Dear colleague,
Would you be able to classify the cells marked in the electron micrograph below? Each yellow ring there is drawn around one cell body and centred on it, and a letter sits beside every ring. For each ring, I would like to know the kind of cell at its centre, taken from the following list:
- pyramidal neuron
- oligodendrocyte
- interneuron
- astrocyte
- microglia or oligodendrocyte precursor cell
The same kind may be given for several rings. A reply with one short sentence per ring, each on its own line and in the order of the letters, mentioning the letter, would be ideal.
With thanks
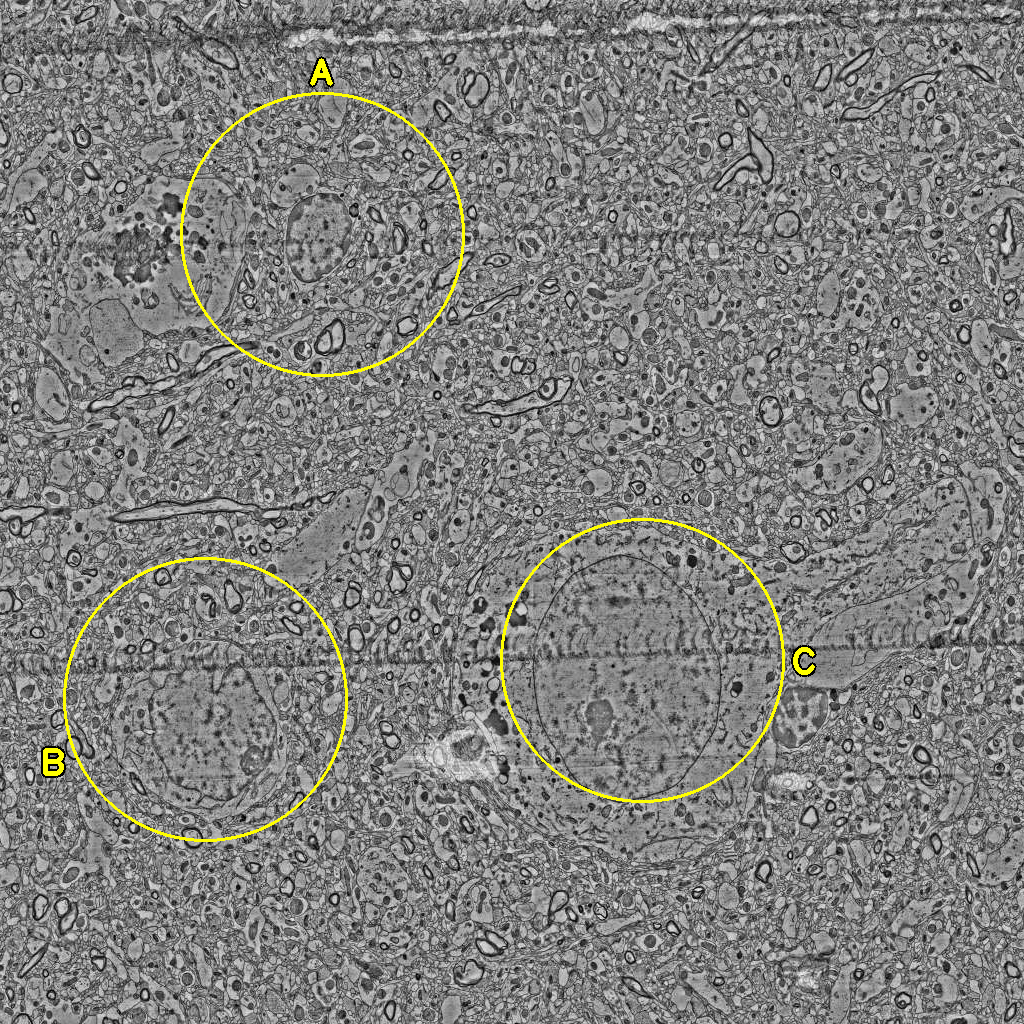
Ring A contains a microglial cell or oligodendrocyte precursor cell at its centre.
Ring B contains an interneuron at its centre.
Ring C contains a pyramidal neuron at its centre.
